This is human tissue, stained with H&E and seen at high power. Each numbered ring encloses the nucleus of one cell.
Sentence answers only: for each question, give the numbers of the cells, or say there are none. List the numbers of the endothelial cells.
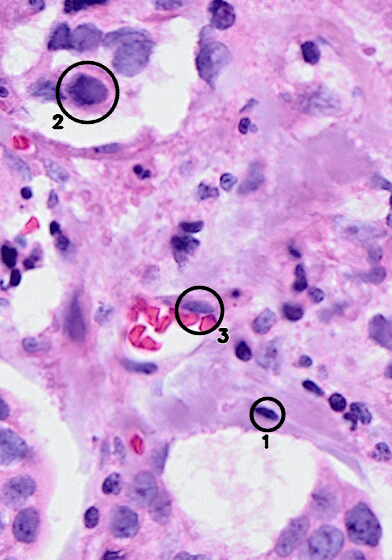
Only the cell numbered 3 qualifies as an endothelial cell among the marked cells.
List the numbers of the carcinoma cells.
In this set of numbered cells, only cell 2 is a carcinoma cell.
